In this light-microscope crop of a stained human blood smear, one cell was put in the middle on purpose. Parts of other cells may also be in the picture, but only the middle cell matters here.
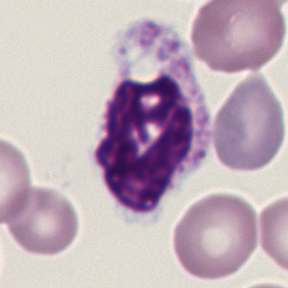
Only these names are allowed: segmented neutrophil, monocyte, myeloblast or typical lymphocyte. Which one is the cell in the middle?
segmented neutrophil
